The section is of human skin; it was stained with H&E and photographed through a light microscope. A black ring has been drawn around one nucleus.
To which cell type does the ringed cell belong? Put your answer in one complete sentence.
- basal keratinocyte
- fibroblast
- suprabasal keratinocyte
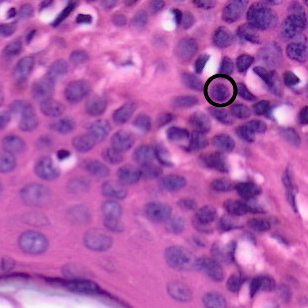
The cell meant here is a basal keratinocyte.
